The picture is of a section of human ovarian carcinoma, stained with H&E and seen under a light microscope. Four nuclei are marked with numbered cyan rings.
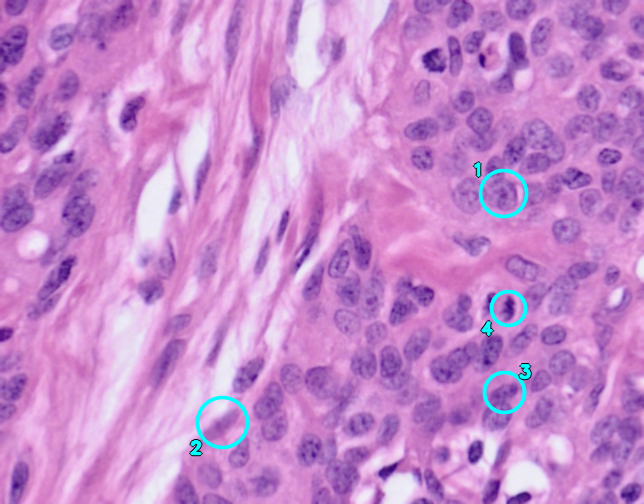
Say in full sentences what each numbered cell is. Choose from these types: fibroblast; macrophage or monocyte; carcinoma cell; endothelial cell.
Cells 1, 3 and 4 are carcinoma cells. Cell 2 is a fibroblast.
